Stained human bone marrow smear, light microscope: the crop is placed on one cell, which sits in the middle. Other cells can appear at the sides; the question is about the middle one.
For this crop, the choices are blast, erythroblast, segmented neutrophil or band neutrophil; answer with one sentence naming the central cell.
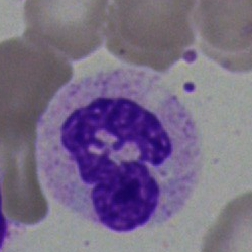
What the crop centres on is a segmented neutrophil.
